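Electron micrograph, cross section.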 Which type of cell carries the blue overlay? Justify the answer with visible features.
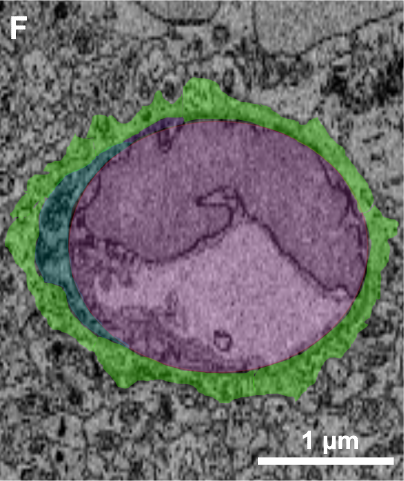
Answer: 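A thin blue crescent lies directly on one side of the vessel wall. It sits inside the outer green layer.
Conclusion: pericytes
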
